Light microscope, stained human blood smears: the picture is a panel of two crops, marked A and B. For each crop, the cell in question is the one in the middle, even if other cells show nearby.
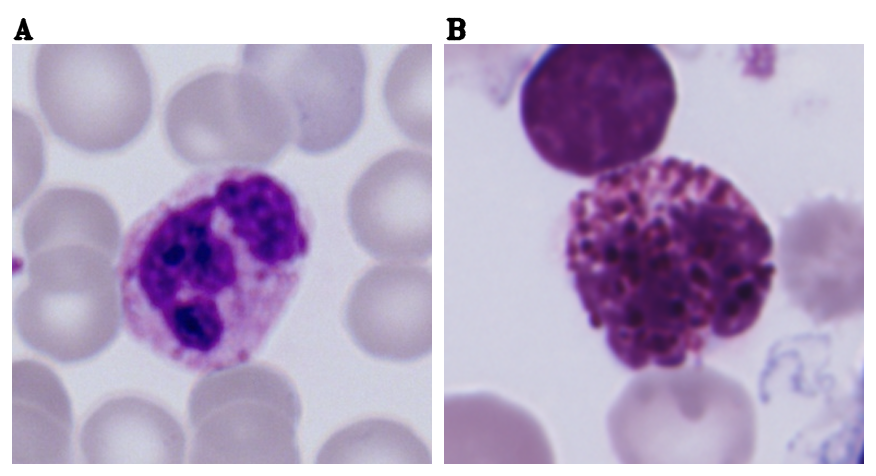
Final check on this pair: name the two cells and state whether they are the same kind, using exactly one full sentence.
Yes, basophils occupy the centre of both crops.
